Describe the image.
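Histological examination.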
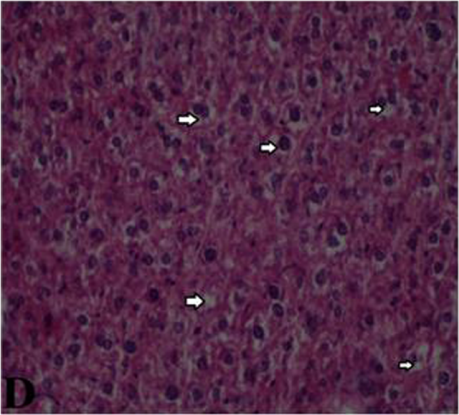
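This is liver parenchyma at higher magnification, made up of hepatocytes packed closely in sheets. Scattered among them are small clear, empty-looking spaces within the cytoplasm, several pointed out by white arrows, giving the cytoplasm a vacuolated, patchy appearance in places. Cell borders are faint, and narrow pale gaps between the cell plates suggest sinusoids. No large vessel is in view; the field is filled evenly by hepatocytes.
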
